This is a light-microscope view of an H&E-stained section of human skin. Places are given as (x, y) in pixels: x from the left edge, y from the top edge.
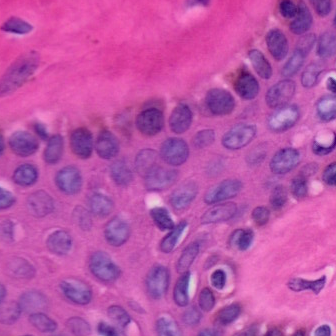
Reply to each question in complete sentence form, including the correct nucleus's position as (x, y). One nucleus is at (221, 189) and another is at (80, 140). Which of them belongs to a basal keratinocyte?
The nucleus of the pair that lies within a basal keratinocyte is at (80, 140).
